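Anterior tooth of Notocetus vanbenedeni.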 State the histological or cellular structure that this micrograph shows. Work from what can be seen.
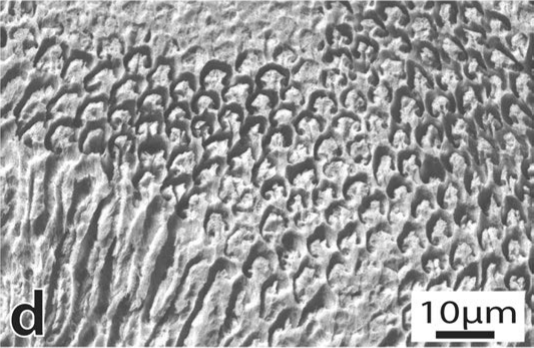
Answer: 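Open enamel prisms. Many arc- or keyhole-shaped outlines a few micrometres across packed in rows. At the lower left the units run as elongated parallel rods.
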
